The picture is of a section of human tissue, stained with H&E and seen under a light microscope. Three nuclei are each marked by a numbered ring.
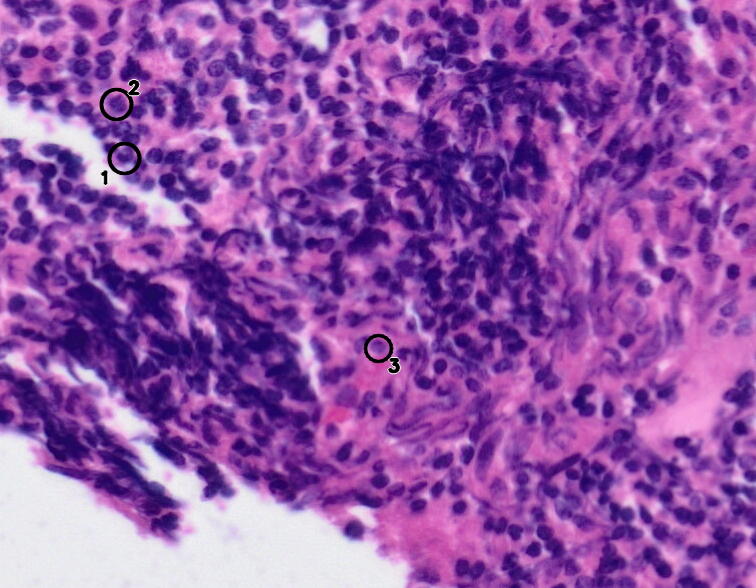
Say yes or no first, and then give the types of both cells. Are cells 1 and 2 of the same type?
Yes, cells 1 and 2 are both termed small lymphocytes.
